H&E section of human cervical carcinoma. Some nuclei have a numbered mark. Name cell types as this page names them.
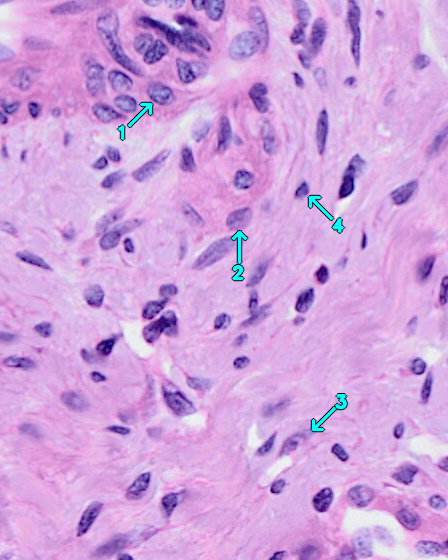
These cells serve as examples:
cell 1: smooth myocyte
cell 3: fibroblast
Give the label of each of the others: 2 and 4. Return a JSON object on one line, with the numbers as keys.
{"2": "smooth myocyte", "4": "fibroblast"}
